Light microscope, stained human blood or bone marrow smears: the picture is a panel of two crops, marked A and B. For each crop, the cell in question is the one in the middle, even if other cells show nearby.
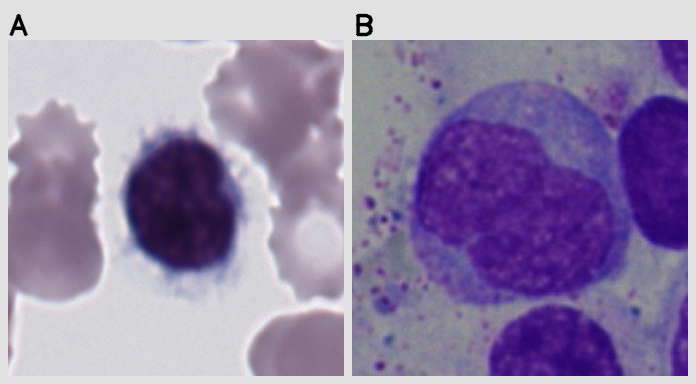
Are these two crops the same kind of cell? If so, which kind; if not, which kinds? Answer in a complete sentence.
No, crop B holds a monocyte, while crop A holds a hairy cell.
